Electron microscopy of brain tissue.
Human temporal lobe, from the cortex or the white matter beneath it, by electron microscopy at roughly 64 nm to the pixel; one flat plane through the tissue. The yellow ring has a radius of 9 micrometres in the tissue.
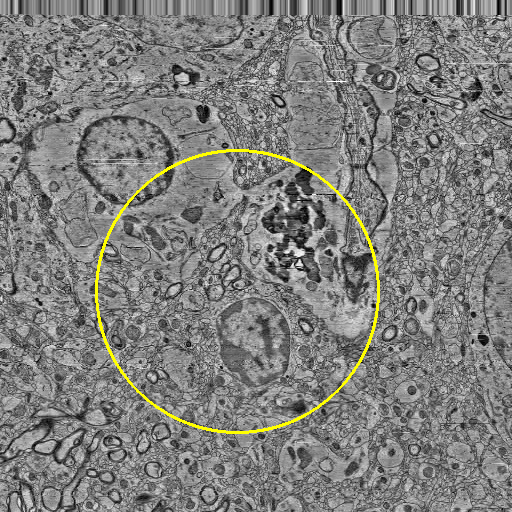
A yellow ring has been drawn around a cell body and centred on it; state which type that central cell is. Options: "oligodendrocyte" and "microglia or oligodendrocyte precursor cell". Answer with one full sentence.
The cell at the middle of the yellow ring is a microglial cell or oligodendrocyte precursor cell in this picture.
